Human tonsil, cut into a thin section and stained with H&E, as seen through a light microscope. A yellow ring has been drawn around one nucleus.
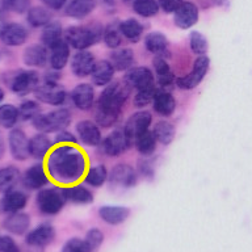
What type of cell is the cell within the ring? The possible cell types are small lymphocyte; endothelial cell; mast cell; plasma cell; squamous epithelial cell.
small lymphocyte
